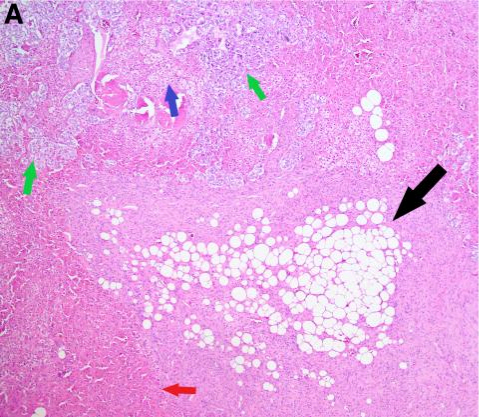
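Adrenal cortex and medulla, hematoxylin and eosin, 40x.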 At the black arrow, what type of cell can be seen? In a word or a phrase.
mature adipocytes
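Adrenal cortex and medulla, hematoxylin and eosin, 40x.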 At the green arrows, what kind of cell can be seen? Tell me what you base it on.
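The arrowed areas are pale bluish-purple, granular-looking tissue. They stand apart in color from the surrounding pink tissue.
Chromaffin cells.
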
